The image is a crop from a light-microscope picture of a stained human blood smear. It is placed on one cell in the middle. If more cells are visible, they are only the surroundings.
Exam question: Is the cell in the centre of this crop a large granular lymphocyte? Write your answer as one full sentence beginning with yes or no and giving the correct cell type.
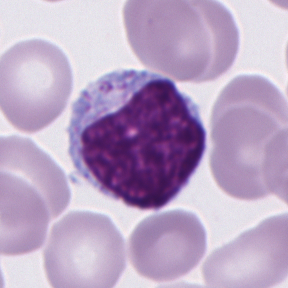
Yes, the cell found at the centre of the crop is a large granular lymphocyte.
